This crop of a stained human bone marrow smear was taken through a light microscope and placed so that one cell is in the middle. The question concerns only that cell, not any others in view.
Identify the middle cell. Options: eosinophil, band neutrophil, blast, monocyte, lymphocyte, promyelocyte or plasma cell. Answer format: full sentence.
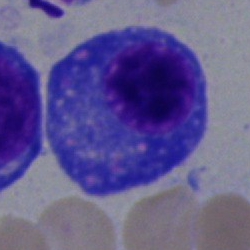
The cell in the exact centre of the crop is a plasma cell.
